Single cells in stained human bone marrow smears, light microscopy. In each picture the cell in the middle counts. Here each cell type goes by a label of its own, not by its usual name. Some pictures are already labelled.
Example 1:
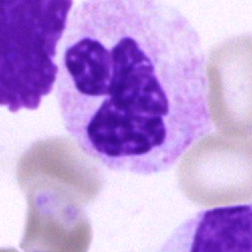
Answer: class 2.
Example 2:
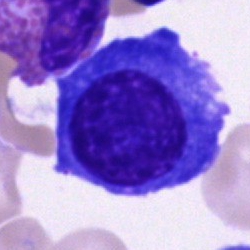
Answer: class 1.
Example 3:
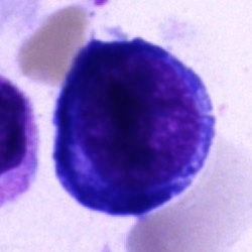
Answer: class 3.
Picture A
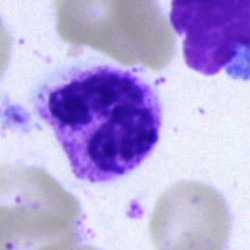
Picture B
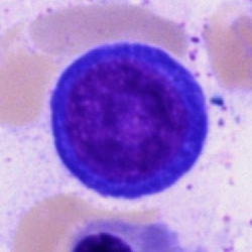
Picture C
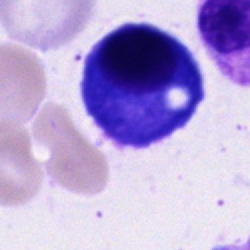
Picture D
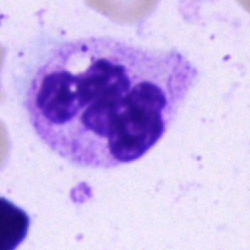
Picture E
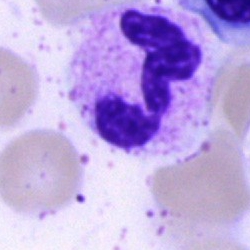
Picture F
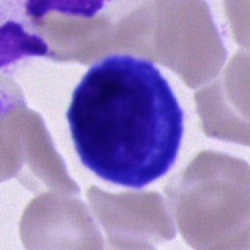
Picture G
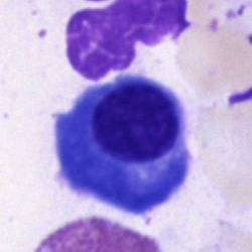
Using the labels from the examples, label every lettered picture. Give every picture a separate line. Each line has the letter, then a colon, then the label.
A: class 2.
B: class 3.
C: class 1.
D: class 2.
E: class 2.
F: class 1.
G: class 1.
